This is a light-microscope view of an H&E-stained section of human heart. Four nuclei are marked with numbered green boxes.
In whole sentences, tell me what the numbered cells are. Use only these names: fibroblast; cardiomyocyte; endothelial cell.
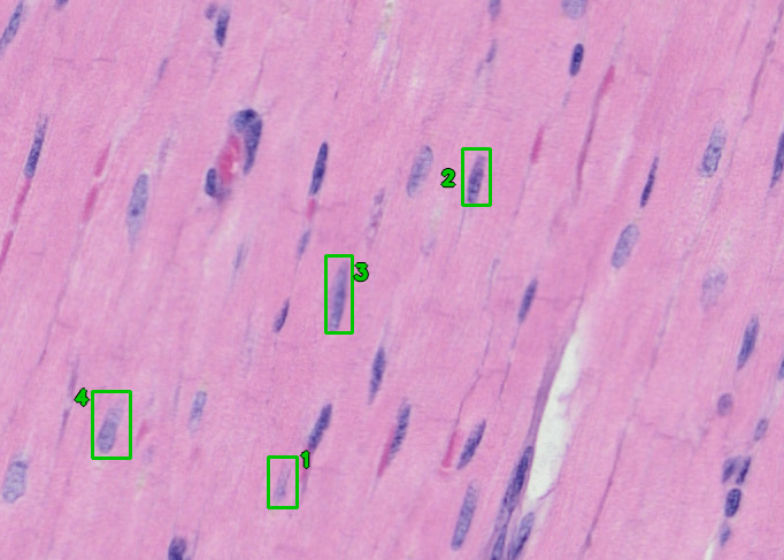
Cells 1, 3 and 4 are cardiomyocytes. Cell 2 is an endothelial cell.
